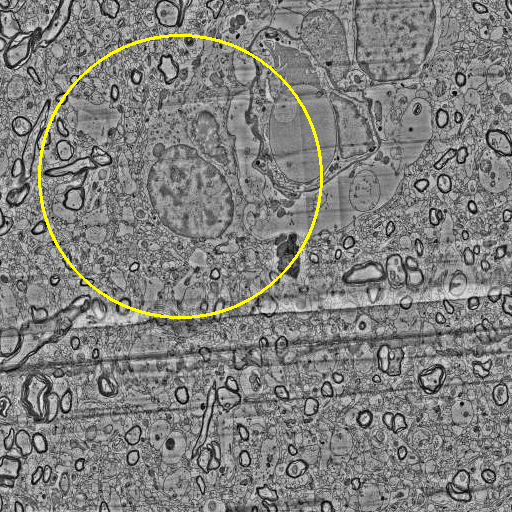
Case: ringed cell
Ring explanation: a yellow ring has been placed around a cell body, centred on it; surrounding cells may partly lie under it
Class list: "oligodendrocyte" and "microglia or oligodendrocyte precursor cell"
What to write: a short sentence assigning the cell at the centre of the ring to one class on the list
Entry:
The cell at the ring's centre is an oligodendrocyte.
